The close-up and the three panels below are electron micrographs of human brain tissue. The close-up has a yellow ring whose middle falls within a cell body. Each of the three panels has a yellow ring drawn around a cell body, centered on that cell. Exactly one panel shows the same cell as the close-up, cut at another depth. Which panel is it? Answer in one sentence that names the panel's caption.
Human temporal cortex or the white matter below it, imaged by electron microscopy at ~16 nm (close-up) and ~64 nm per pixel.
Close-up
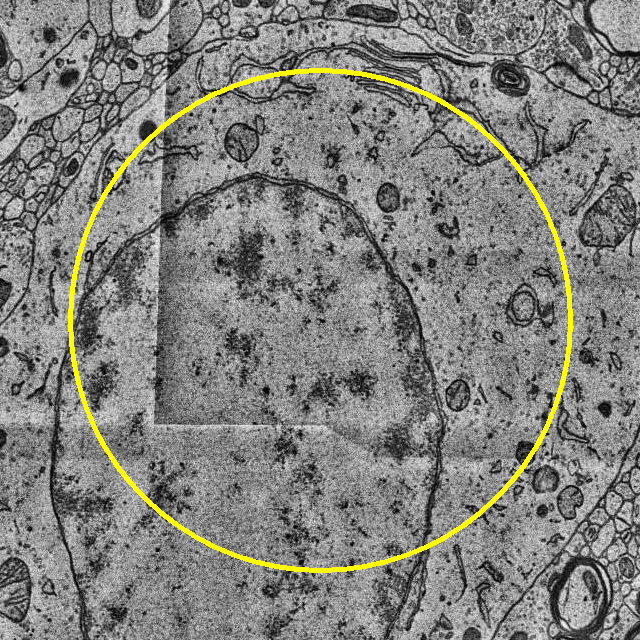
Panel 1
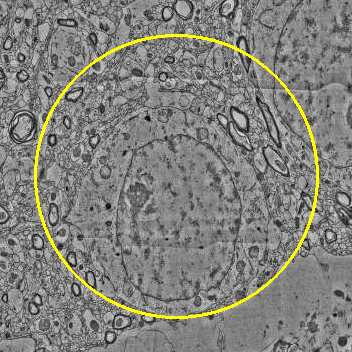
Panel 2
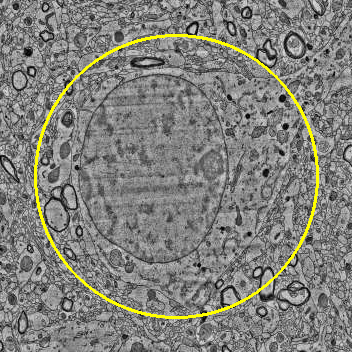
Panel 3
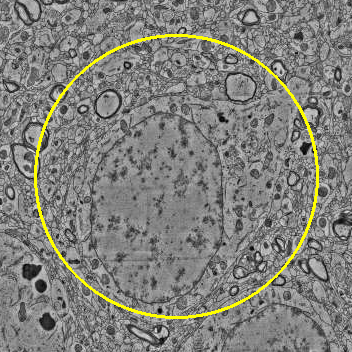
The close-up matches the cell enclosed by the yellow ring in Panel 3.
